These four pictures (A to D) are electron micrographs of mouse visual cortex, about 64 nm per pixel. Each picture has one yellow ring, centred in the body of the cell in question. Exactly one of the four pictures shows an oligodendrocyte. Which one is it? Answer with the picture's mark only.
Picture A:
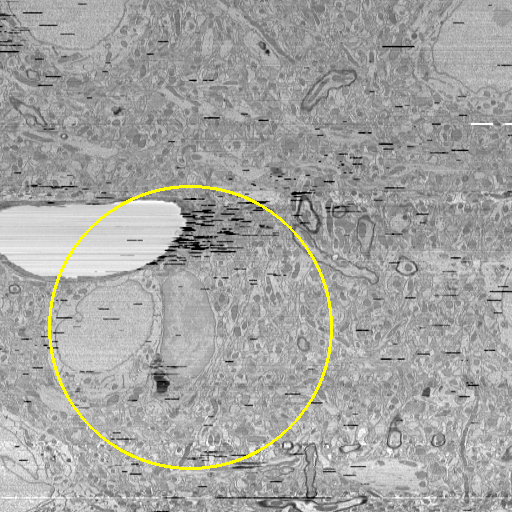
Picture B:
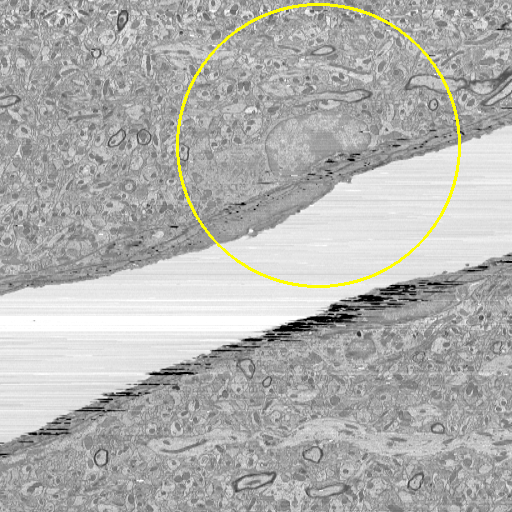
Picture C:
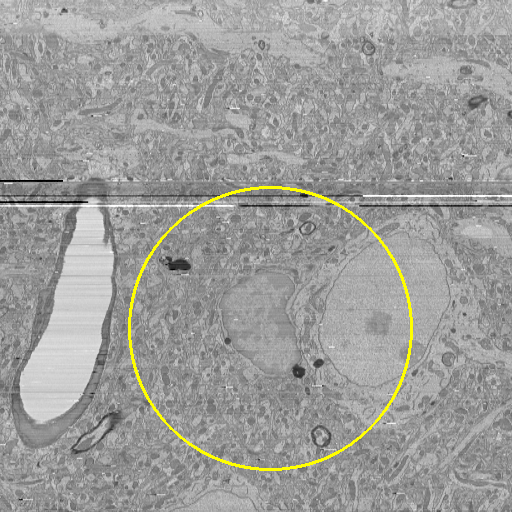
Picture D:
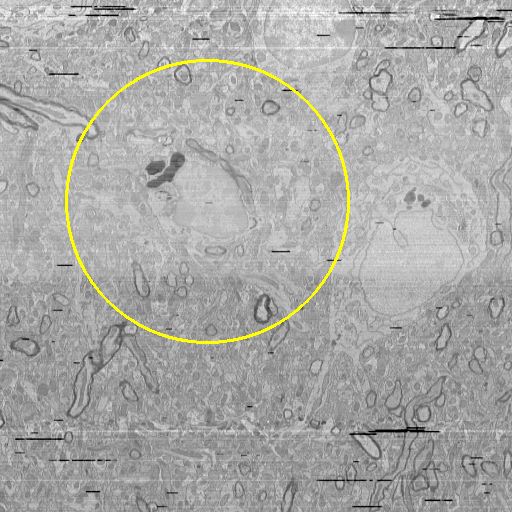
B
